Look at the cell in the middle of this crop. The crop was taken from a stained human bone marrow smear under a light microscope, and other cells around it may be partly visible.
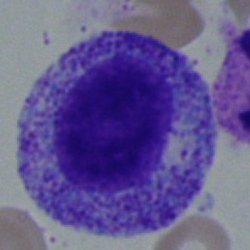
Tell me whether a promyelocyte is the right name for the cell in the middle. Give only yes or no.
no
